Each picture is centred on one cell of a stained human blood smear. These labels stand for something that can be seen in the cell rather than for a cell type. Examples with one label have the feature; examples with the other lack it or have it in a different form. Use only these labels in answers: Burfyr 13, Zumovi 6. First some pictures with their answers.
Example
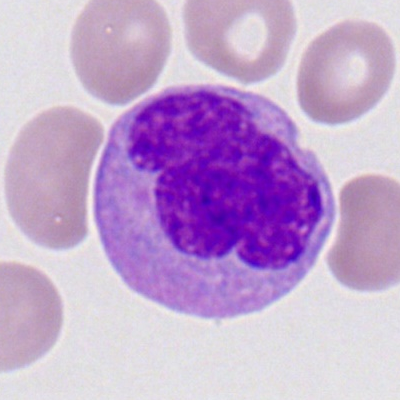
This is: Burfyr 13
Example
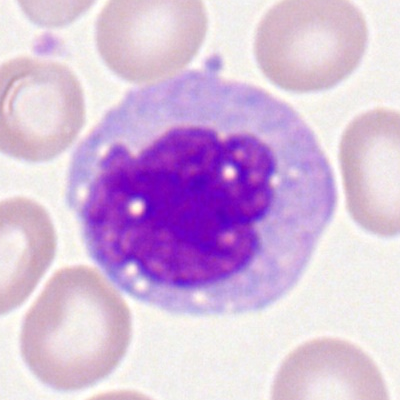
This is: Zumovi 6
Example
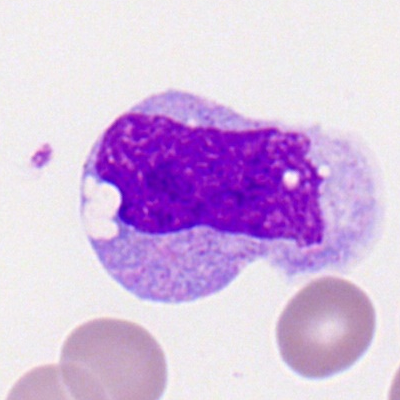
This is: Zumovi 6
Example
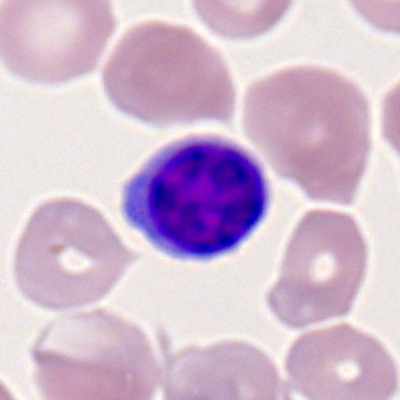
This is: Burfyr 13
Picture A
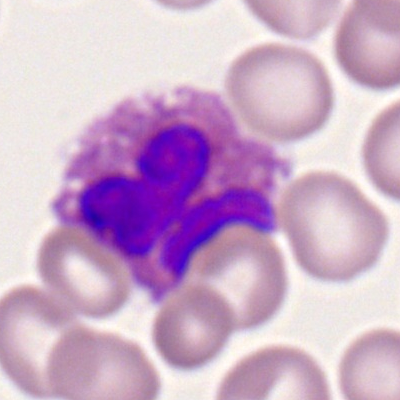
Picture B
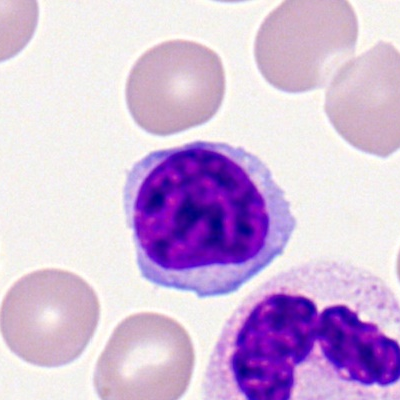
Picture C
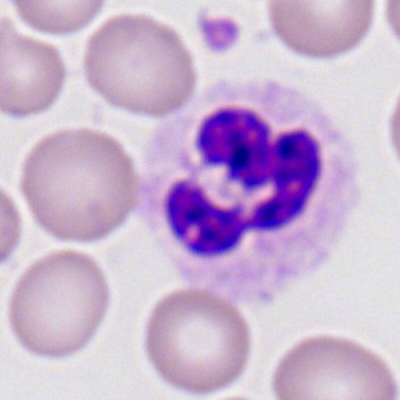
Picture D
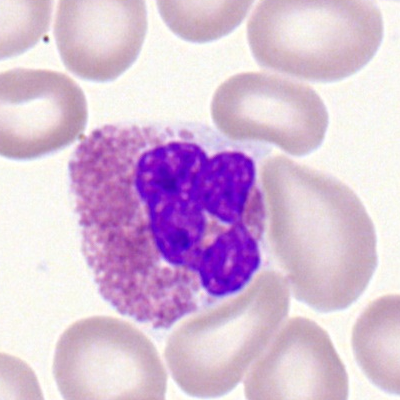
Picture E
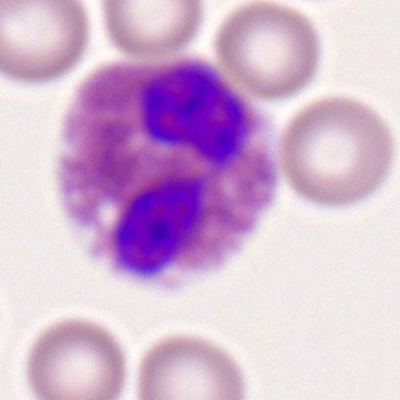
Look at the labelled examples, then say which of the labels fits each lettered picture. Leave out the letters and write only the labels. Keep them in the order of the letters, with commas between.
Zumovi 6, Zumovi 6, Zumovi 6, Burfyr 13, Zumovi 6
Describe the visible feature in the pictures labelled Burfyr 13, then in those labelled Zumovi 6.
Burfyr 13, smooth outline; Zumovi 6, ragged outline or projections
